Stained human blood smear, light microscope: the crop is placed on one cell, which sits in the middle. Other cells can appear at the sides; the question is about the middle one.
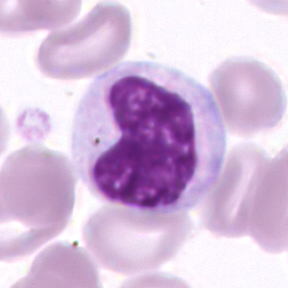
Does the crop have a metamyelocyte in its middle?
yes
